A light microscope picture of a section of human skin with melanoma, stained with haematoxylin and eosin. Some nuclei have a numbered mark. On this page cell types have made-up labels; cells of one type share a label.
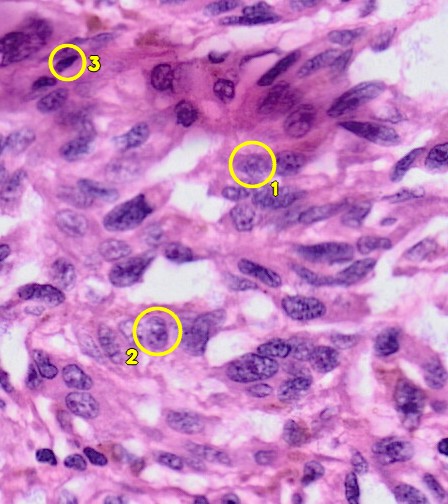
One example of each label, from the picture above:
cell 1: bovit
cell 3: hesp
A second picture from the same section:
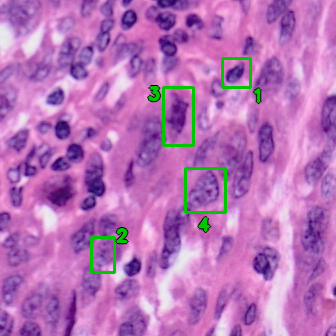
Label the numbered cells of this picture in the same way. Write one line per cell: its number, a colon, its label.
1: hesp
2: bovit
3: bovit
4: bovit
